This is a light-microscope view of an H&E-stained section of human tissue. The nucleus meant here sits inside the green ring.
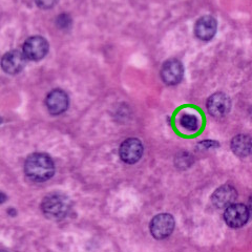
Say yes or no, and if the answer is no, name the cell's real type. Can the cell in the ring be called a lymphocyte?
Yes.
